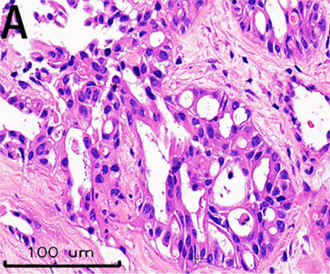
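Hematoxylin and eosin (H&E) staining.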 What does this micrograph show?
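This shows infiltrating tumor cells of polygonal to columnar shape set in pink fibrous stroma. They form irregular, small glands and cords, some with open lumina, scattered without order through the connective tissue, an invasive pattern. The cells have a moderate amount of pink cytoplasm. The stroma between the tumor groups is loose to dense, with thin spindle-shaped fibroblast nuclei.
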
